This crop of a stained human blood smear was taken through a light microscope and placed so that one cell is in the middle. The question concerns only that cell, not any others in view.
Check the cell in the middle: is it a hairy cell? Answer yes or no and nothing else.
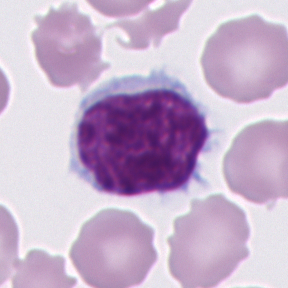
yes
